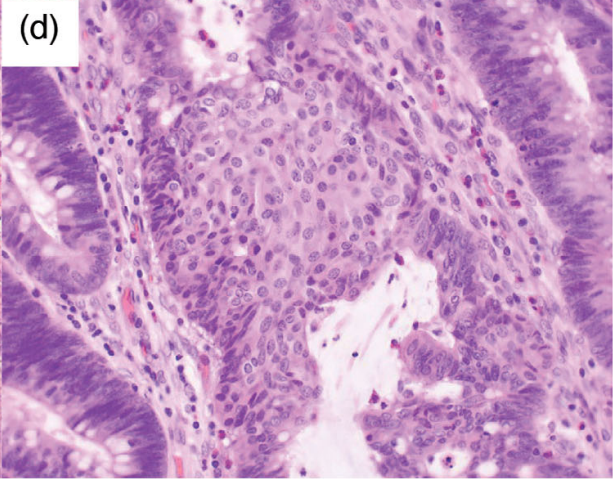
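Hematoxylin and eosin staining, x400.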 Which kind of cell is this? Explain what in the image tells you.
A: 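A central solid nest of cells with oval to short spindle-shaped nuclei. The nest cells have pale pink cytoplasm and no gland lumen. Tall columnar glandular epithelium flanks the nest.
Conclusion: round small to short spindles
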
